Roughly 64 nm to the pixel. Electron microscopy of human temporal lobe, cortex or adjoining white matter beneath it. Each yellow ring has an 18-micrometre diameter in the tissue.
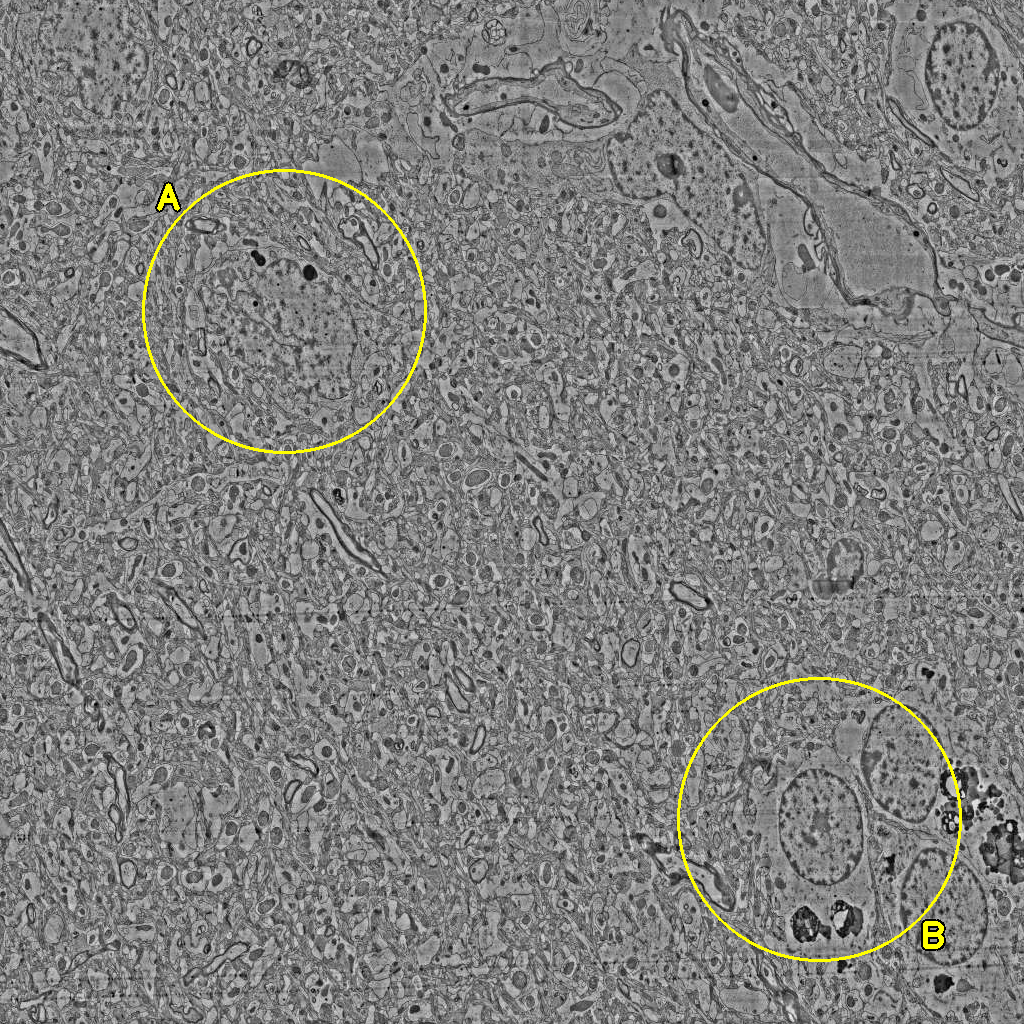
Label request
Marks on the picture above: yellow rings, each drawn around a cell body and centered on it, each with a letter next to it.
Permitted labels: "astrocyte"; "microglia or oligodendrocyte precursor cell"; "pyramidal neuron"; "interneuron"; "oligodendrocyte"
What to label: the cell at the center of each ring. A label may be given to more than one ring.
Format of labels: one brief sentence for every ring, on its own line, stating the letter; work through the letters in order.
The cell at the center of ring A is an interneuron.
The cell at the center of ring B is an astrocyte.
